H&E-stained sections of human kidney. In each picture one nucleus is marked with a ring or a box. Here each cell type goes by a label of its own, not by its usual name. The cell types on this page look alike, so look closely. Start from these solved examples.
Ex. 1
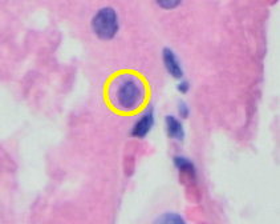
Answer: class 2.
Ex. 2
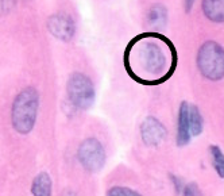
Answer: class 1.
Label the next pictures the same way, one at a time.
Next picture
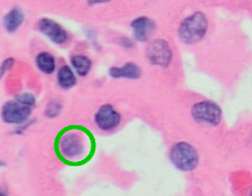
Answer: class 1.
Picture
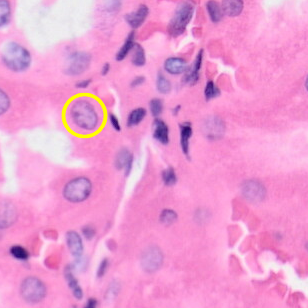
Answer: class 2.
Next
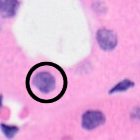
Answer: class 1.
